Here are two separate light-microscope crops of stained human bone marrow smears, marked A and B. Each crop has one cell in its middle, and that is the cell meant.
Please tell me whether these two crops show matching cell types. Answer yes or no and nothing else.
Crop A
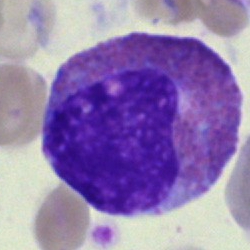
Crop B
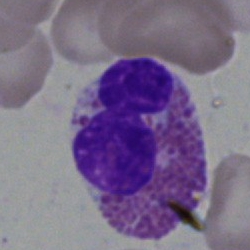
yes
